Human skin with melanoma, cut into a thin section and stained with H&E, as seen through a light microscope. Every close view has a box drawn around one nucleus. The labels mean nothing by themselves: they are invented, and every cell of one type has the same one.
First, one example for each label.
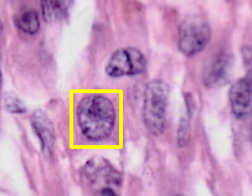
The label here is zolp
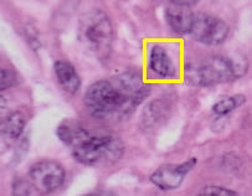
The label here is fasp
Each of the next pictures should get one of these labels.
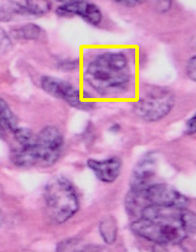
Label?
zolp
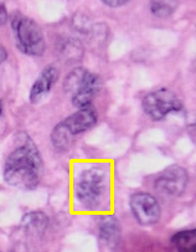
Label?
zolp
